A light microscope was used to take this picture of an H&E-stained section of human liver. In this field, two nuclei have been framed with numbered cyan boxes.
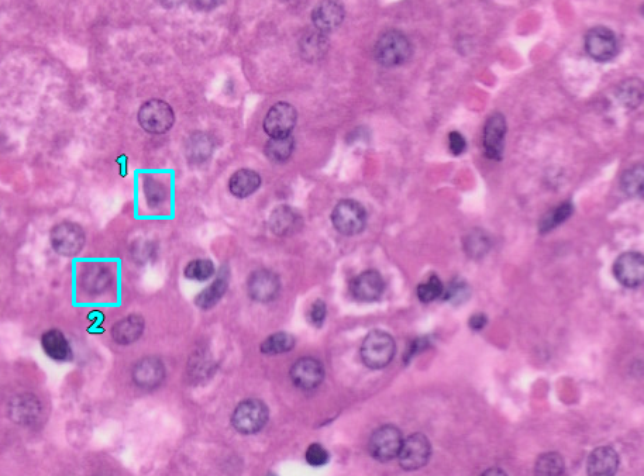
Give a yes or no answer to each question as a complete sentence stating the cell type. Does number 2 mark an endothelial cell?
No, number 2 does not mark an endothelial cell; it marks a hepatocyte.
